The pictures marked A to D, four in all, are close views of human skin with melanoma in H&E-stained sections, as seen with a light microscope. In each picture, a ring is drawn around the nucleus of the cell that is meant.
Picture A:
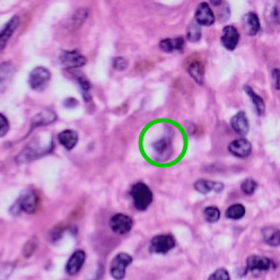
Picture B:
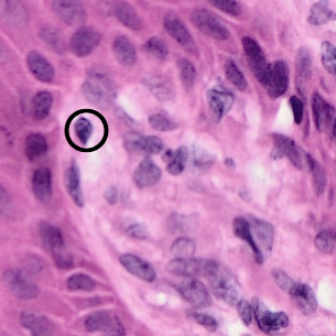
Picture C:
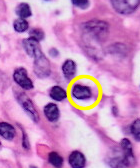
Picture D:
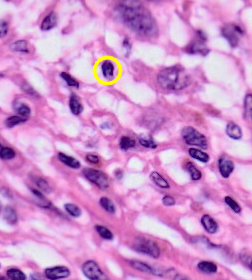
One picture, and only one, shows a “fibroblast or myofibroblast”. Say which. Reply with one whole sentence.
It is picture A that shows the “fibroblast or myofibroblast”.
